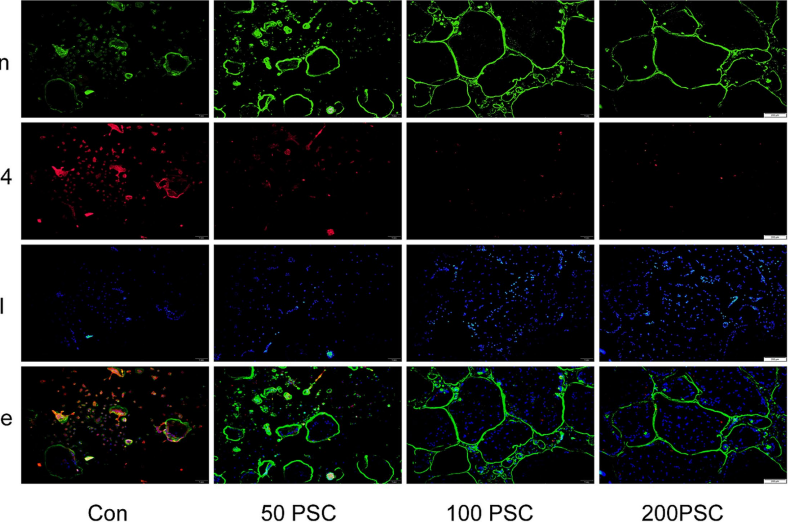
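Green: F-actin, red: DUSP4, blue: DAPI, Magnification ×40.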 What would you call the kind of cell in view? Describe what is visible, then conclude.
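Very large cells are outlined by continuous green rings. Many blue nuclei are clustered inside single green-bounded cells.
Answer: osteoclasts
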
